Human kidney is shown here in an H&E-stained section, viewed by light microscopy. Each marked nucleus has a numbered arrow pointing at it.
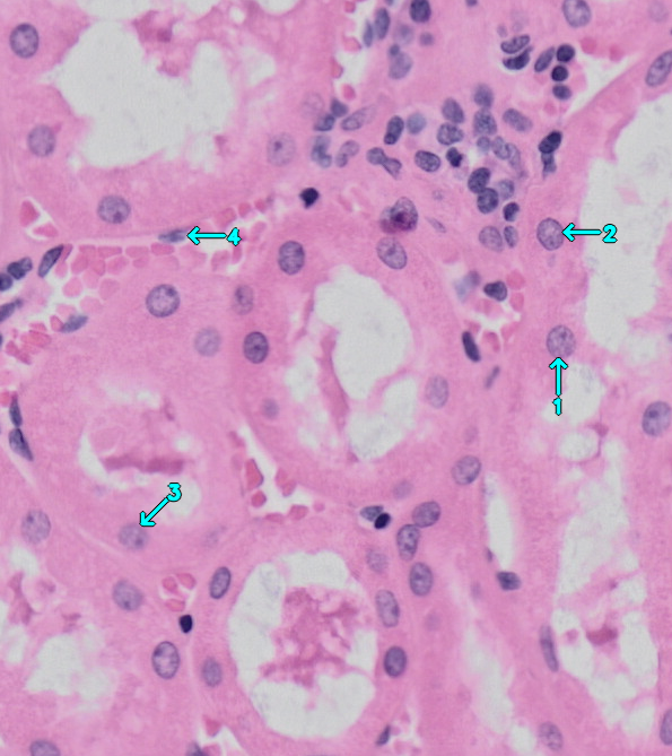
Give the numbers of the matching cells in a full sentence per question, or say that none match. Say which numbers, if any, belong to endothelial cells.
Among all the marked cells, an endothelial cell is found only at number 4.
